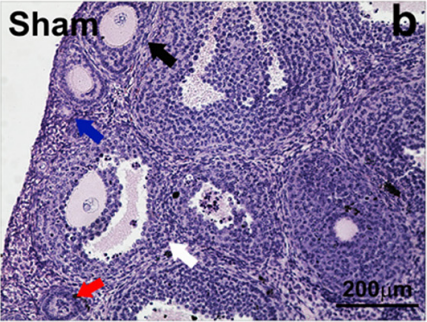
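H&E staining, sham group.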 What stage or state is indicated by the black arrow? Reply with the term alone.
Secondary follicle.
